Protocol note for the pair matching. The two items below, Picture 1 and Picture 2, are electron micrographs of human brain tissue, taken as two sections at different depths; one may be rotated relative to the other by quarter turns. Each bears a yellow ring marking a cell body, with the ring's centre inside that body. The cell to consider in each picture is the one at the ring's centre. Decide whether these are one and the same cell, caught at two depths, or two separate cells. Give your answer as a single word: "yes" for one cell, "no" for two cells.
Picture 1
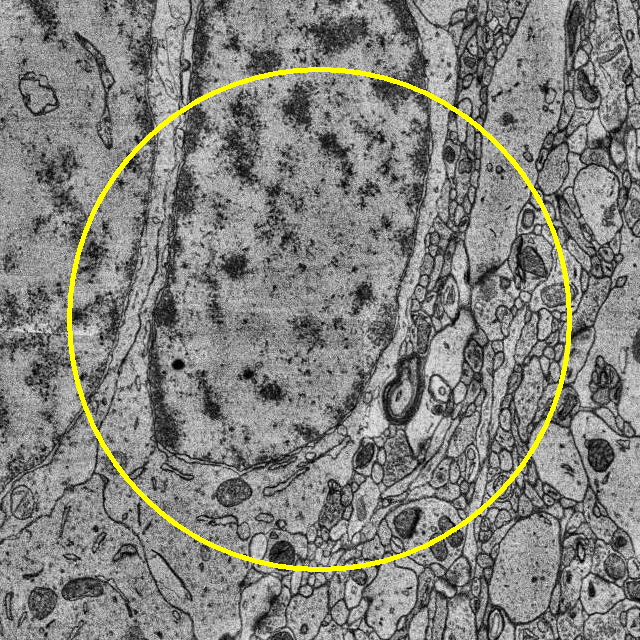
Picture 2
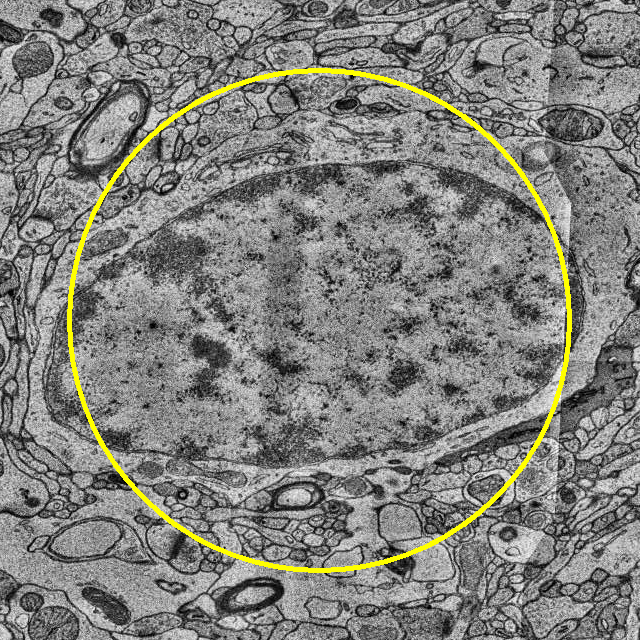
no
